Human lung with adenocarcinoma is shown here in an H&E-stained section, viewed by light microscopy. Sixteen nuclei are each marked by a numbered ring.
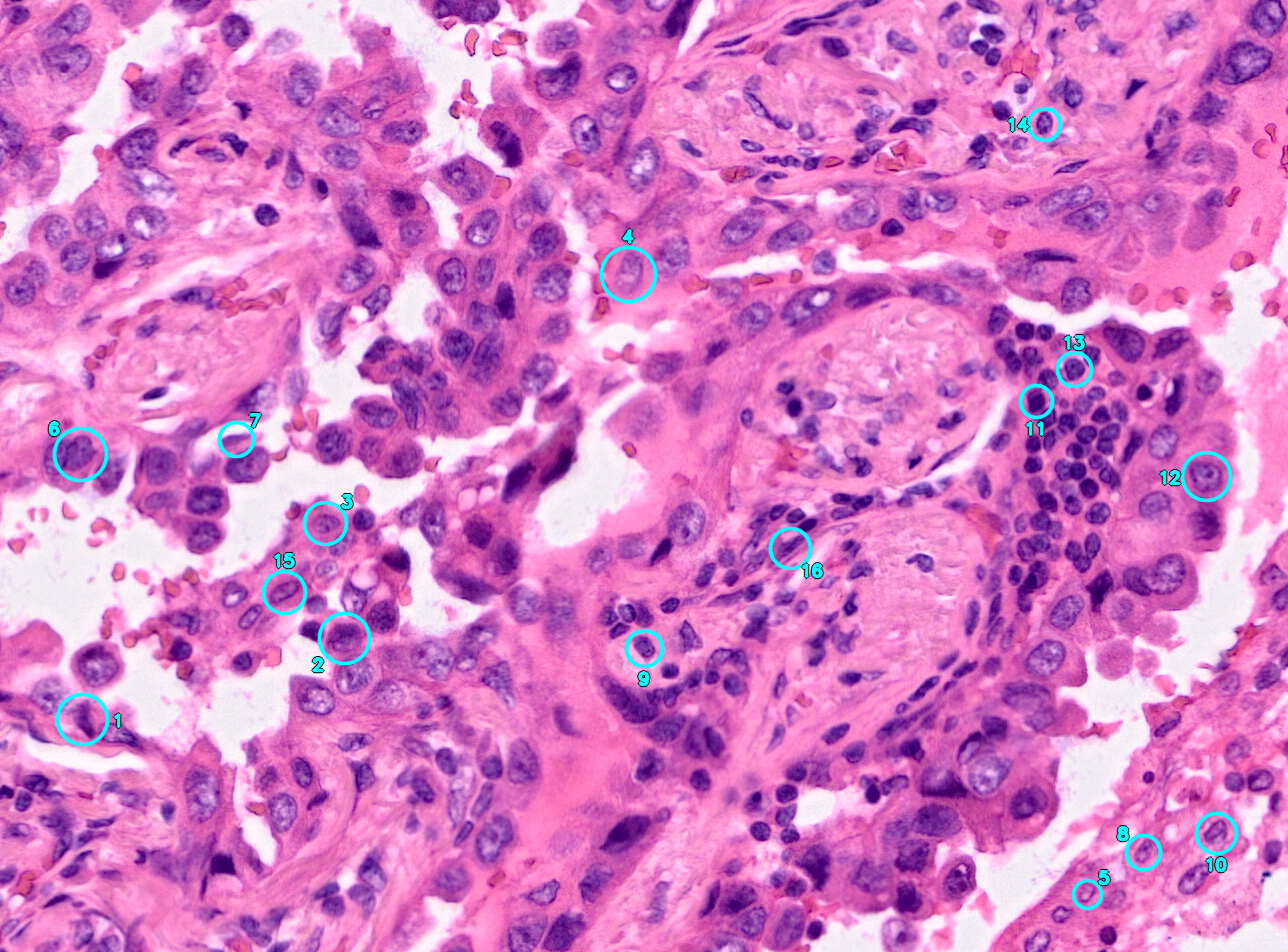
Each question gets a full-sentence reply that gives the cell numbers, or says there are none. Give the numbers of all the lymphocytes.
The cells with the number labels 9, 11 and 13 are lymphocytes.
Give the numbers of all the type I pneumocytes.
Nowhere among the numbered cells do type I pneumocytes occur.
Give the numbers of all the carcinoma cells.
The cells which carry the numbers 1, 2, 4, 6, 7 and 12 are carcinoma cells.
